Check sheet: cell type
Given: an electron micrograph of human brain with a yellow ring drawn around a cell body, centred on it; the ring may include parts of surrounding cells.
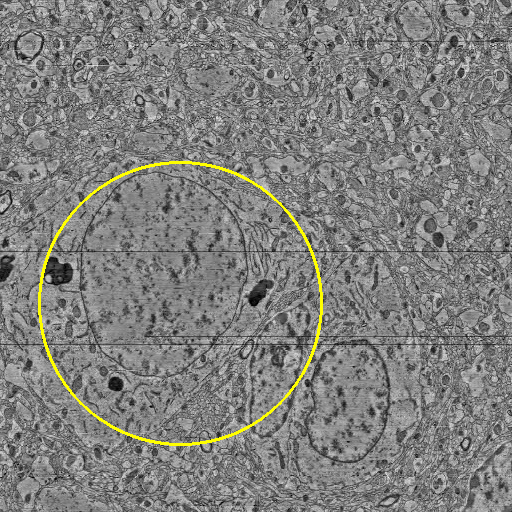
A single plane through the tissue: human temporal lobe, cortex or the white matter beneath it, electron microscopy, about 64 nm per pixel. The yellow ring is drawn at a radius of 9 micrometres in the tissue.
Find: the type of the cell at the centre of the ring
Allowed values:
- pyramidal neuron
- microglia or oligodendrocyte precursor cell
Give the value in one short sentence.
Here the ringed cell is a pyramidal neuron.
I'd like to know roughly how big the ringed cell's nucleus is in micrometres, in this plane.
Roughly 14 by 11 micrometres in this plane, for the nucleus of the ringed cell.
